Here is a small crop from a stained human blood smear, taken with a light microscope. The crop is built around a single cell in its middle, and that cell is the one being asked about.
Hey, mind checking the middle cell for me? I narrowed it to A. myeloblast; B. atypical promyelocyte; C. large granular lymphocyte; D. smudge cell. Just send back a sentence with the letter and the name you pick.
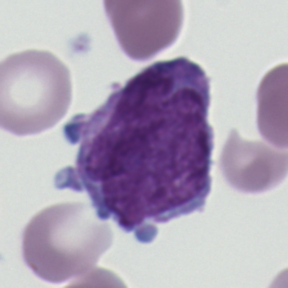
Answer key: option B, the middle cell being an atypical promyelocyte.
